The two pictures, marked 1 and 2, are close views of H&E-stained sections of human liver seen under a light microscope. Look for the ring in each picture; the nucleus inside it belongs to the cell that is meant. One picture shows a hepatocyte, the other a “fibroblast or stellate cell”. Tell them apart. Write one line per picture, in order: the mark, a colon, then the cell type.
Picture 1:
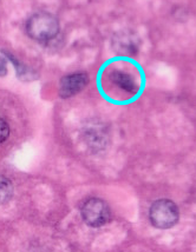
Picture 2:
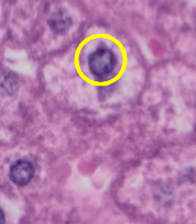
1: fibroblast or stellate cell
2: hepatocyte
